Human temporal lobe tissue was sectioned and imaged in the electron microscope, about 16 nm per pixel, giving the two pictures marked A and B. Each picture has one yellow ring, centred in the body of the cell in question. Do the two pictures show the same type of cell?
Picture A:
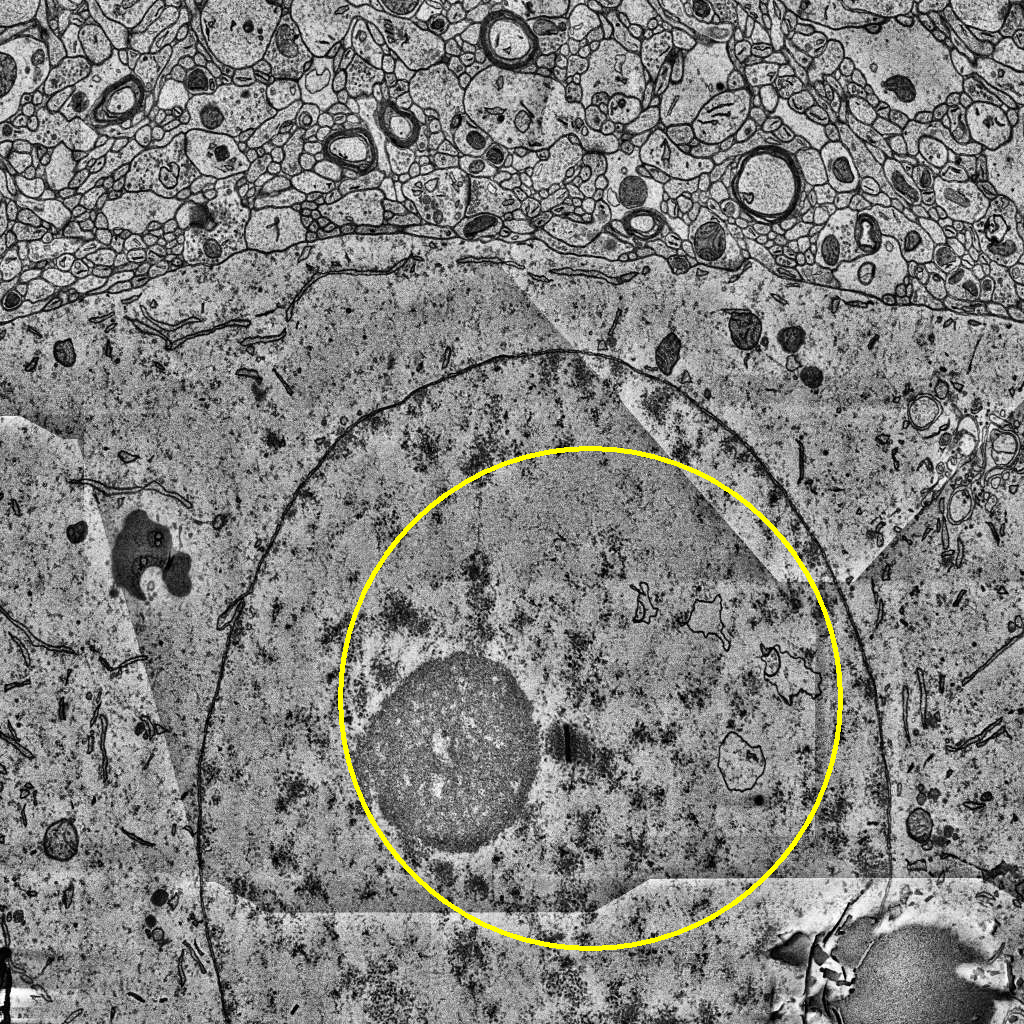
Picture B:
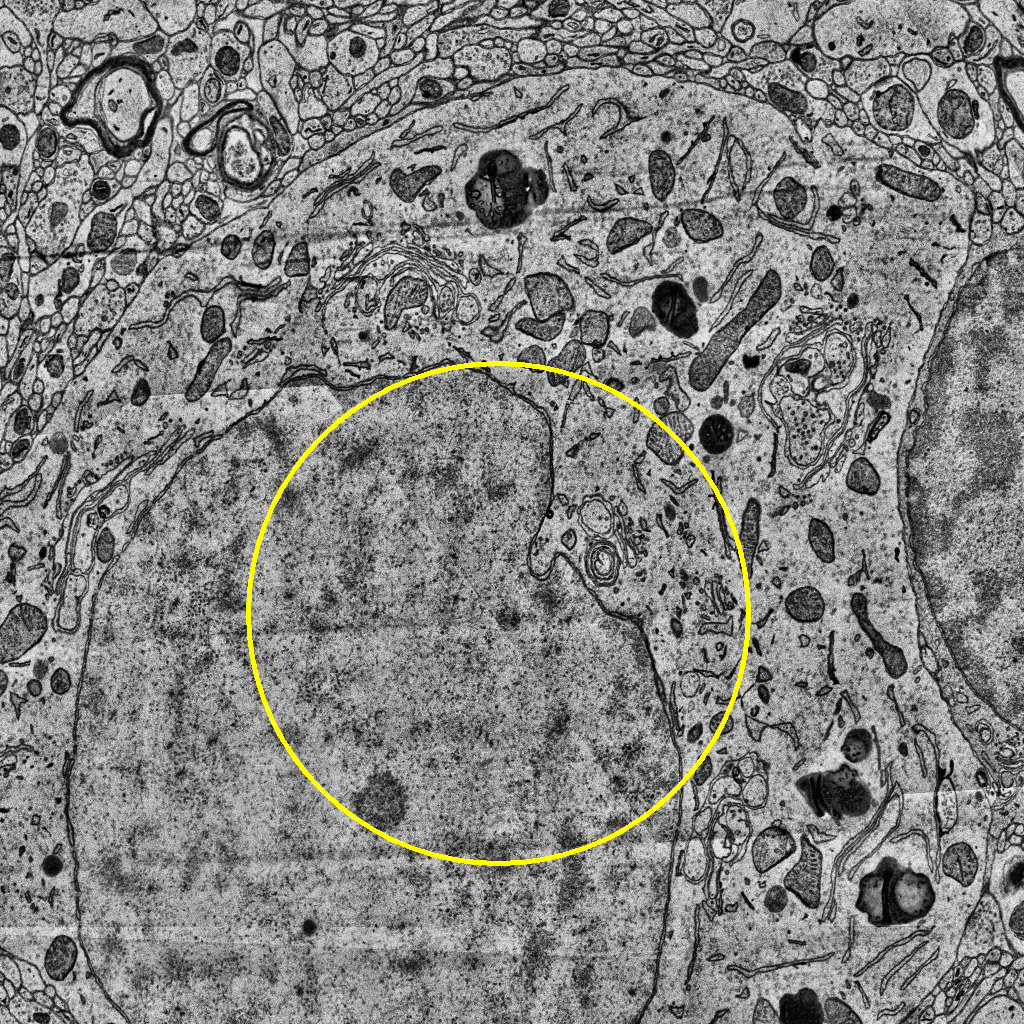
No, picture A shows a pyramidal neuron and picture B shows an interneuron.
